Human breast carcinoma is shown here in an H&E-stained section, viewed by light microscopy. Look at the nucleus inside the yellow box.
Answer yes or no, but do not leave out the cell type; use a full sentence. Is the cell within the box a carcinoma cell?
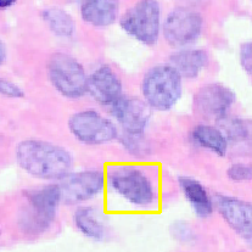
Yes, the cell within the box is correctly named as a carcinoma cell.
